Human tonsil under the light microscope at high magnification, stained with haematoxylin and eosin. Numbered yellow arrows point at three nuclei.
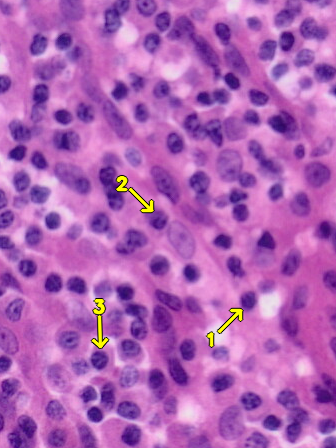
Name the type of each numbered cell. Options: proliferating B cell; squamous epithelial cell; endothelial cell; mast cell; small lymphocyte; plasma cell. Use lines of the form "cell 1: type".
cell 1: squamous epithelial cell
cell 2: plasma cell
cell 3: plasma cell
